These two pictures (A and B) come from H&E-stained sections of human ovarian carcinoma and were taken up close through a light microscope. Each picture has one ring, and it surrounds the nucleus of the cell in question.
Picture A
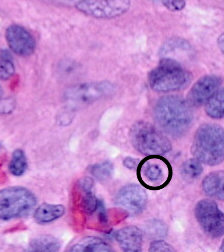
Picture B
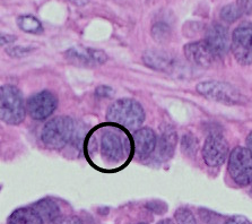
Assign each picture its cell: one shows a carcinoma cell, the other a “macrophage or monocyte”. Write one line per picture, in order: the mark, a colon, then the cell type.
A: macrophage or monocyte
B: carcinoma cell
